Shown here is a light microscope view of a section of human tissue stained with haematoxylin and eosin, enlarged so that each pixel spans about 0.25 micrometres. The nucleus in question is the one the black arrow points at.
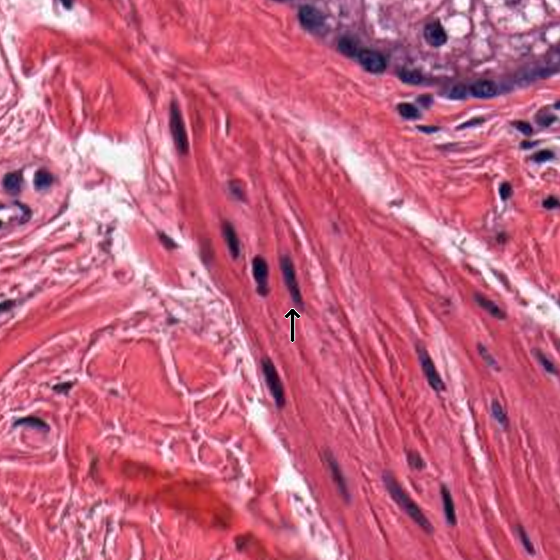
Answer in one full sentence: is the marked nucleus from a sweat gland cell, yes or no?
No, the marked nucleus is not enclosed by a sweat gland cell.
